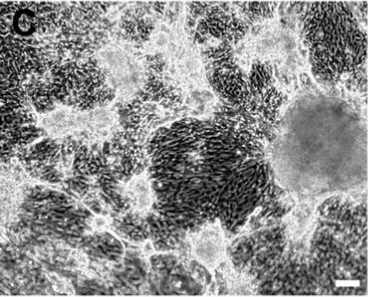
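A cultured cell layer in which the cells have formed dense, multilayered foci. Sheets of closely packed, elongated spindle-shaped cells lie between irregular bright clusters of rounded cells that are piled up above the monolayer, one of them forming a large round mass.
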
